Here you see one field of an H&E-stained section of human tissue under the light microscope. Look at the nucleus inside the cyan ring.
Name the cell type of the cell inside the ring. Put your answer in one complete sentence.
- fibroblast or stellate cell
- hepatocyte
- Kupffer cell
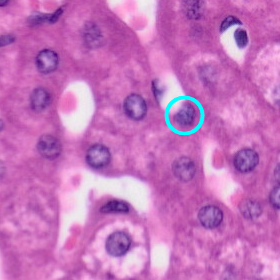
What the cell inside the ring represents is a fibroblast or stellate cell.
